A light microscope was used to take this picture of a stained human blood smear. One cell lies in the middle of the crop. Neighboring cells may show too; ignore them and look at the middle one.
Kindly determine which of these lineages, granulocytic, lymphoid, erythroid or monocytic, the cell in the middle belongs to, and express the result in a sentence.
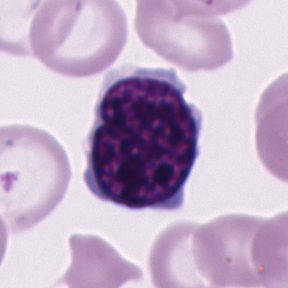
Lineage of the cell at the center of this crop: erythroid.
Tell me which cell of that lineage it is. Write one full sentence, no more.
The cell at the middle of the frame should be recorded as a normoblast.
